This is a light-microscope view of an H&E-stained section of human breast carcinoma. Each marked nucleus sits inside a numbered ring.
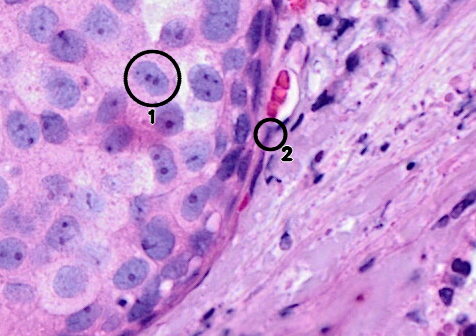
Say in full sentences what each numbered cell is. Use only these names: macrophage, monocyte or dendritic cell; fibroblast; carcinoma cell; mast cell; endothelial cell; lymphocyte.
Cell 1 is a carcinoma cell. Cell 2 is an endothelial cell.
